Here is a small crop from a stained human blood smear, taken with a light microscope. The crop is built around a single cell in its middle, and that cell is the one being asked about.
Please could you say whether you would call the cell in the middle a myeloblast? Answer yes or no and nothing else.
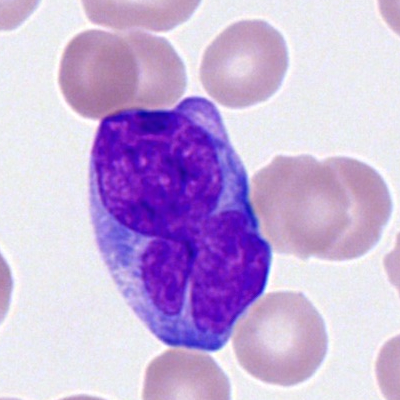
yes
